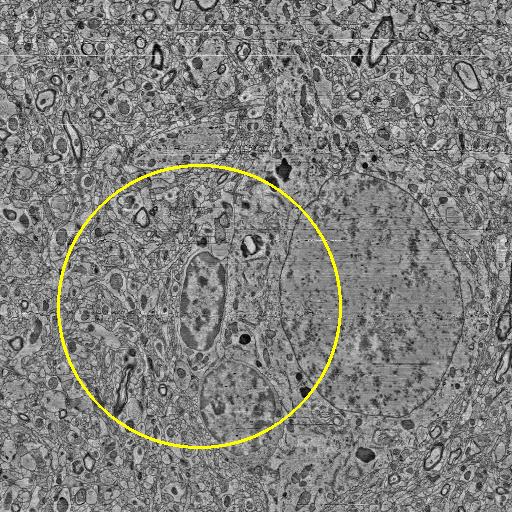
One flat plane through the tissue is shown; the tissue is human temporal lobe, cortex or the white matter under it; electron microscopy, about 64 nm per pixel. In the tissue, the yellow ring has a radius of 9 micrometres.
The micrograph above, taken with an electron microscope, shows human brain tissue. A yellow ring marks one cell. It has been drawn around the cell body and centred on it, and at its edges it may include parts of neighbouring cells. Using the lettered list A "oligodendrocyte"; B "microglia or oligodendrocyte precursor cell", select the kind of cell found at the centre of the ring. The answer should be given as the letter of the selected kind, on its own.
B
